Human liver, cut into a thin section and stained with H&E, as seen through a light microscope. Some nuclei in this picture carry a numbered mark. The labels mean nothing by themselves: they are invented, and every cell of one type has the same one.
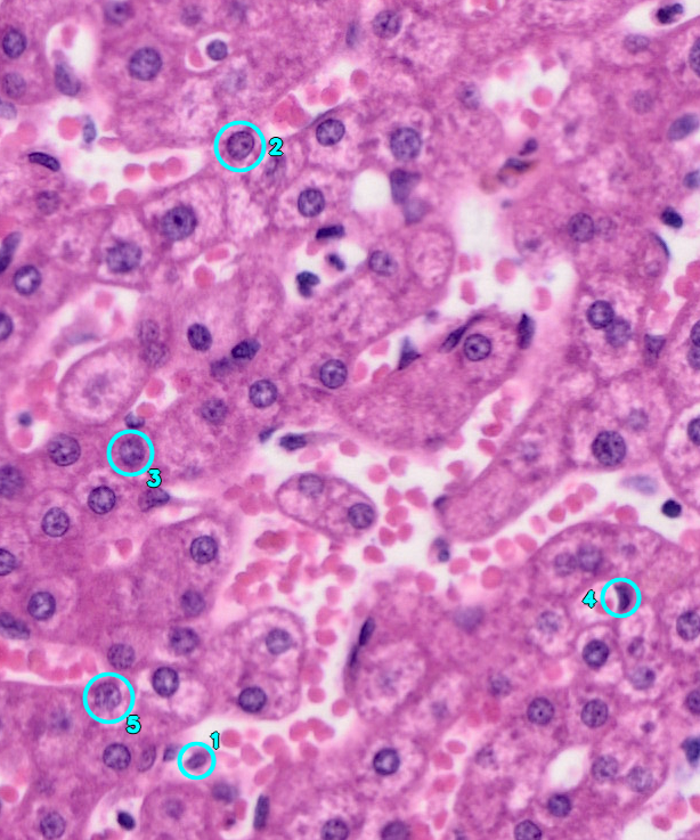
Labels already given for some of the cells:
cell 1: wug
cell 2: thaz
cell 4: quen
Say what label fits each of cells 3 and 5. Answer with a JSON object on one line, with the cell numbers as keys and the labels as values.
{"3": "thaz", "5": "thaz"}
